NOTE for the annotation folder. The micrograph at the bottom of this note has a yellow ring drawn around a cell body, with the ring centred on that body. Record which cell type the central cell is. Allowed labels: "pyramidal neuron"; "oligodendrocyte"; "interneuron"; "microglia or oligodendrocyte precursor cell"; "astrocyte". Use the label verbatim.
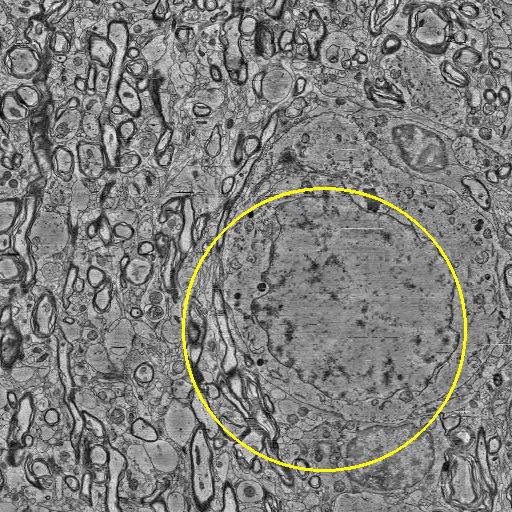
pyramidal neuron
